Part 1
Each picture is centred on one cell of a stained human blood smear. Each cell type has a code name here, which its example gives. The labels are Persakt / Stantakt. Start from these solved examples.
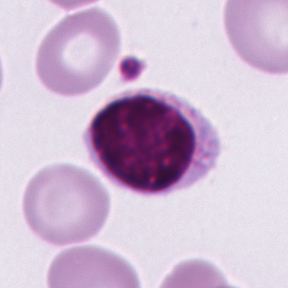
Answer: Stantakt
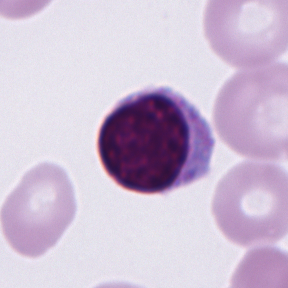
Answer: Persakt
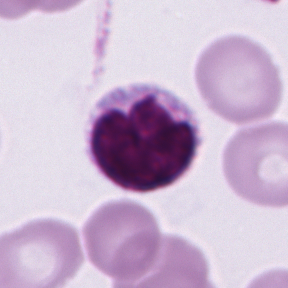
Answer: Persakt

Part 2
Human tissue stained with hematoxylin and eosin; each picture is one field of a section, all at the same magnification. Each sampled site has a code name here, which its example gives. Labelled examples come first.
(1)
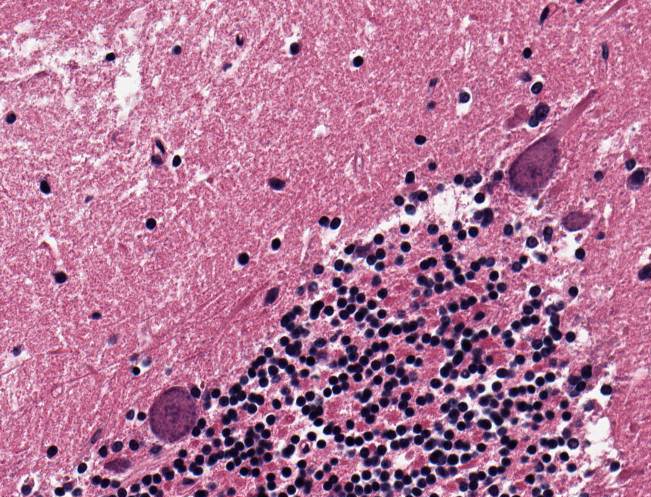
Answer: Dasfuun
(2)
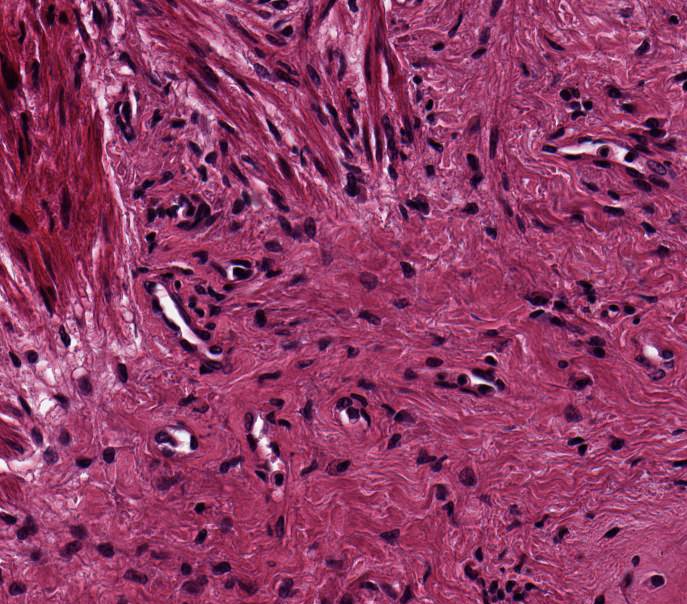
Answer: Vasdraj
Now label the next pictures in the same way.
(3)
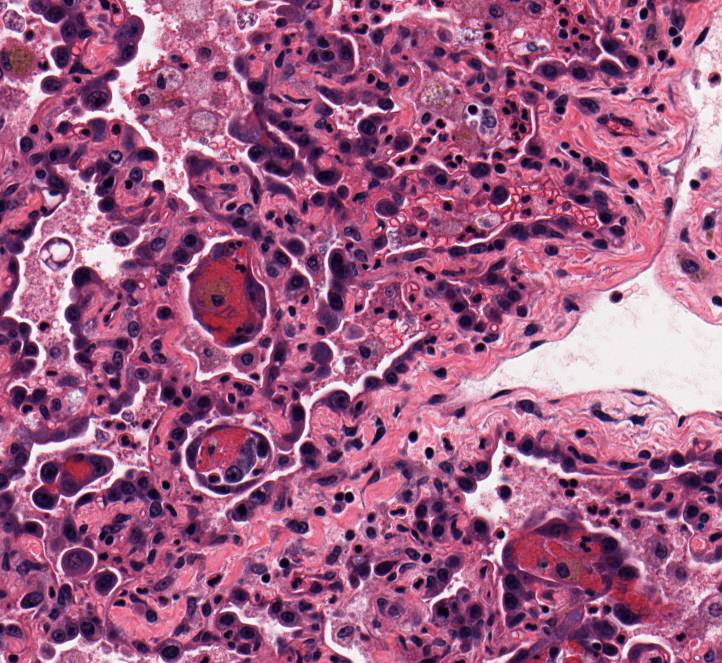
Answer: Vasdraj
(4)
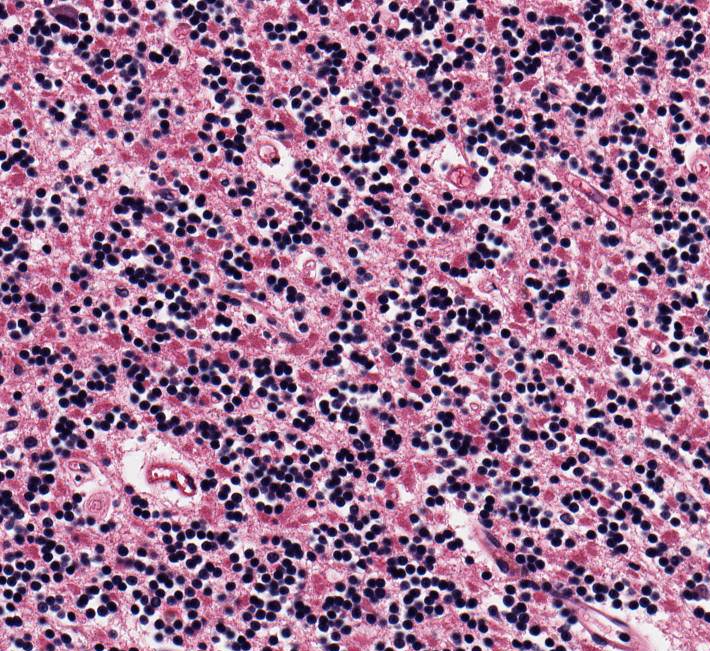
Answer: Dasfuun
